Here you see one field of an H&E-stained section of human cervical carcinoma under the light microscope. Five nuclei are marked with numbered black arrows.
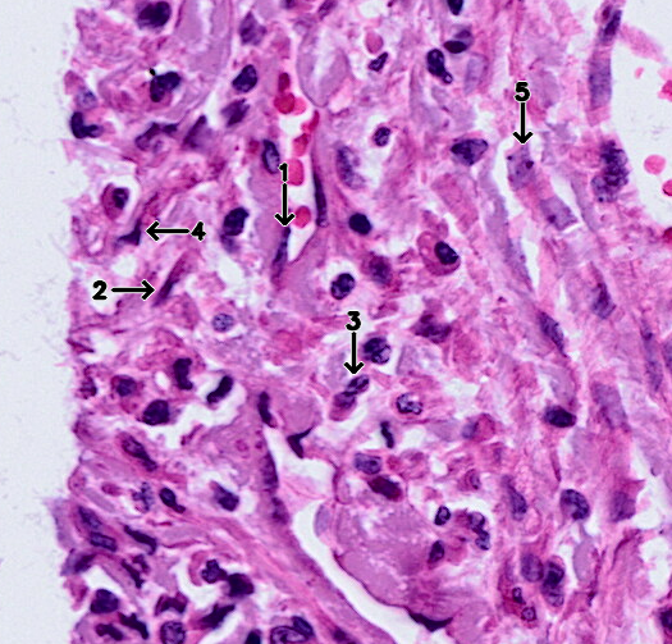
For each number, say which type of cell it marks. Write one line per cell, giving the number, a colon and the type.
1: endothelial cell
2: fibroblast
3: macrophage or monocyte
4: fibroblast
5: fibroblast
